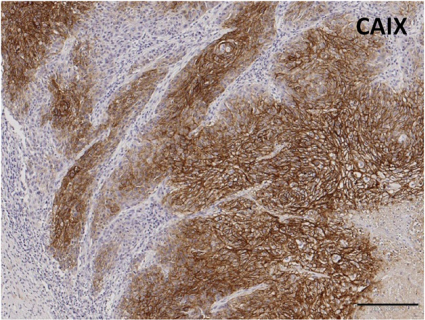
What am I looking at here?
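Squamous cell carcinoma with tumor cells arranged in broad nests and tongues separated by strands of pale stroma with small blue spindle-shaped nuclei. The tumor cells show strong brown staining along their cell borders, giving a fine chicken-wire outline to the nests, while the stroma remains unstained.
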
